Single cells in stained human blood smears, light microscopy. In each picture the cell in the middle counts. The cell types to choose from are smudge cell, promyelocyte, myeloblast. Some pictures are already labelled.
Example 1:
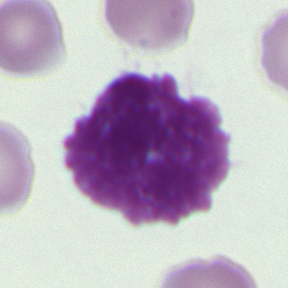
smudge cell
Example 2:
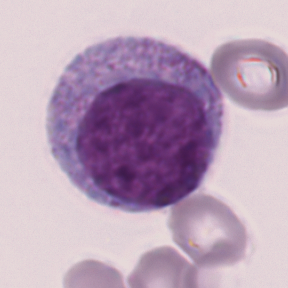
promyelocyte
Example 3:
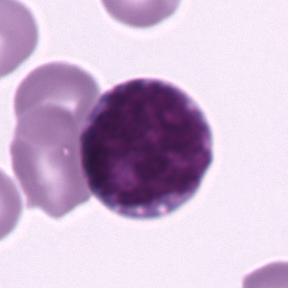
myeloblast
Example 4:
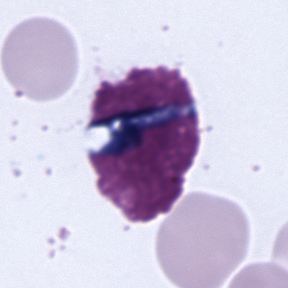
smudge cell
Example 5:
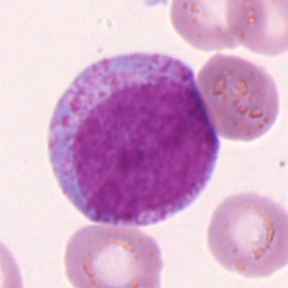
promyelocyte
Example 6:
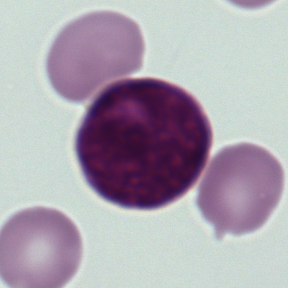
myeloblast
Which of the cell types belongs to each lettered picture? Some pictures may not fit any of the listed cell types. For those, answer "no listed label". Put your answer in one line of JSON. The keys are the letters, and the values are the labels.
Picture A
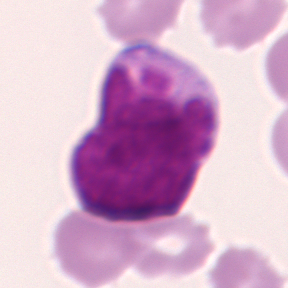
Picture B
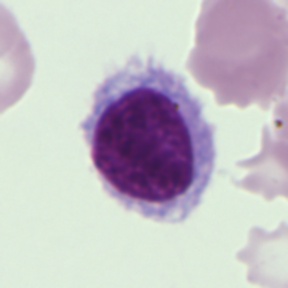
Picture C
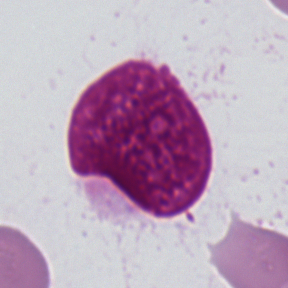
{"A": "myeloblast", "B": "no listed label", "C": "smudge cell"}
